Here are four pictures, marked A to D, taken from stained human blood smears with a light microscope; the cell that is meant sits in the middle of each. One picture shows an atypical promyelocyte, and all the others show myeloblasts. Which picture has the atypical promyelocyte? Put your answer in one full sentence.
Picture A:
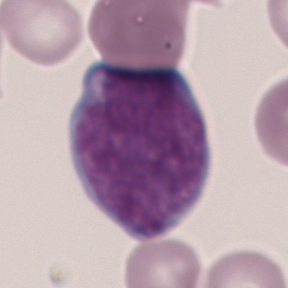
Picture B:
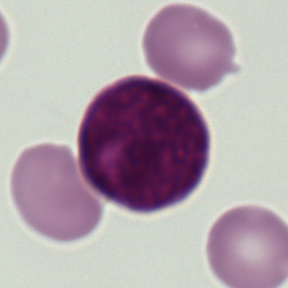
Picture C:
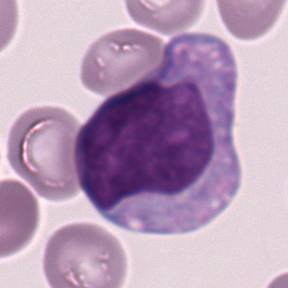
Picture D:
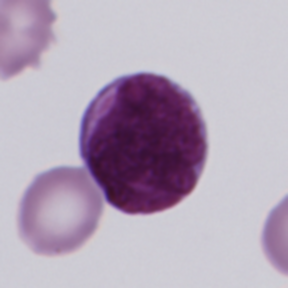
The atypical promyelocyte is the one in picture C.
